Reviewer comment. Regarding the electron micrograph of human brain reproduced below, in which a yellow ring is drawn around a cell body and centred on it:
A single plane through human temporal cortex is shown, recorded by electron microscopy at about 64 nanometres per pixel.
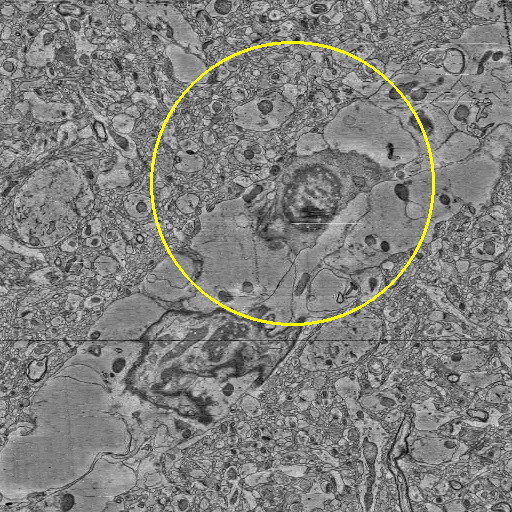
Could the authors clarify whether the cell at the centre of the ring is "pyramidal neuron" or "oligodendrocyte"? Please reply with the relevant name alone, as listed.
oligodendrocyte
